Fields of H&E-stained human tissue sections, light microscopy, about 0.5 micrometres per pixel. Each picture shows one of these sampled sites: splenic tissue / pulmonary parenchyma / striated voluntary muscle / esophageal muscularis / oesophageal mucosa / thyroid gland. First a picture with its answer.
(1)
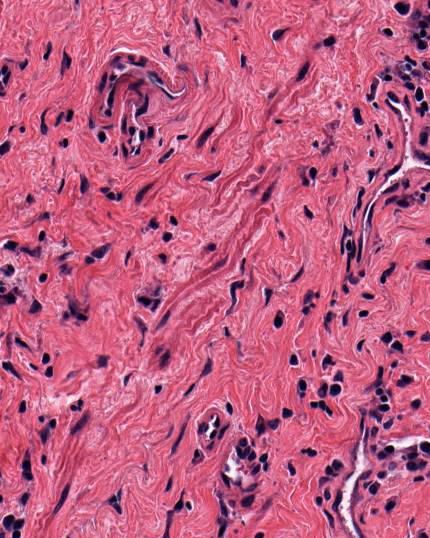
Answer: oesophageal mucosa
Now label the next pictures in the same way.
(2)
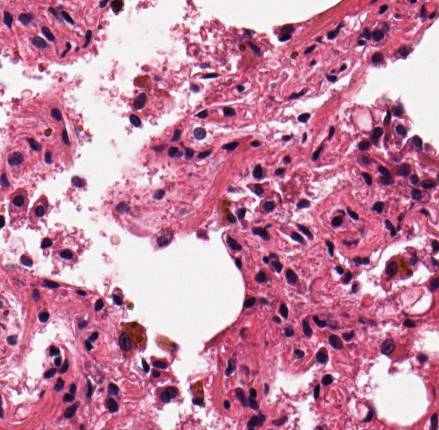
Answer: pulmonary parenchyma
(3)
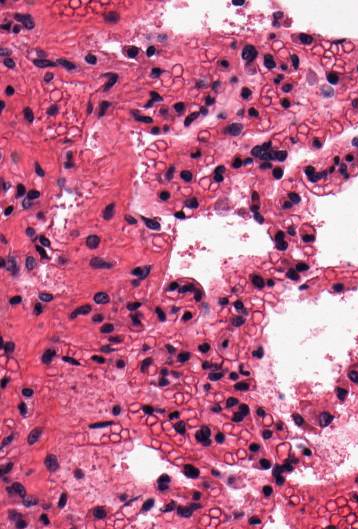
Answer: pulmonary parenchyma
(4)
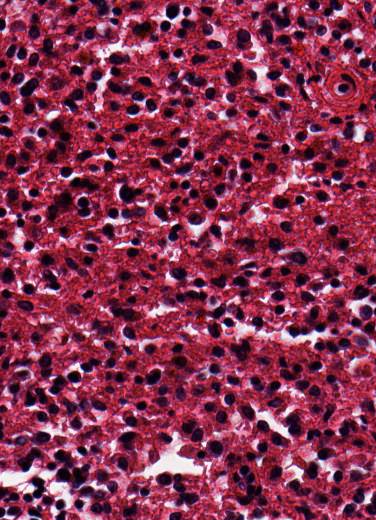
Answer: splenic tissue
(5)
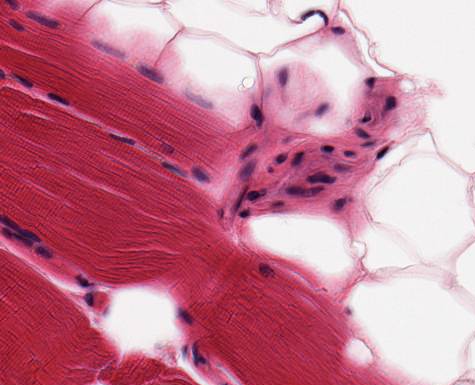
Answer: striated voluntary muscle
